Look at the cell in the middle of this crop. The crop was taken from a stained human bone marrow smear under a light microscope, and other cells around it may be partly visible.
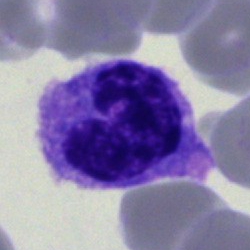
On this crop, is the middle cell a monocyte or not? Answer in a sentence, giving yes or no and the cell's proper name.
Yes, the cell found in the middle is a monocyte.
